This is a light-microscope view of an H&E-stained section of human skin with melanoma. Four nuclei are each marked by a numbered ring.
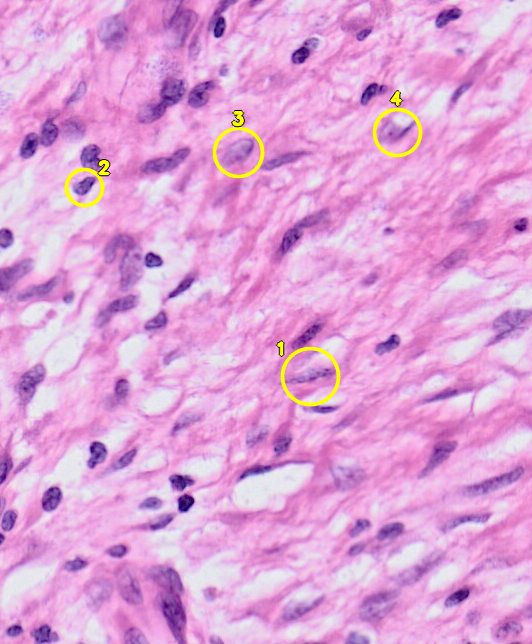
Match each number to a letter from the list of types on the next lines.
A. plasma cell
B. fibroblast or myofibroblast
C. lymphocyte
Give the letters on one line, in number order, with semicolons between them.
B; C; B; B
